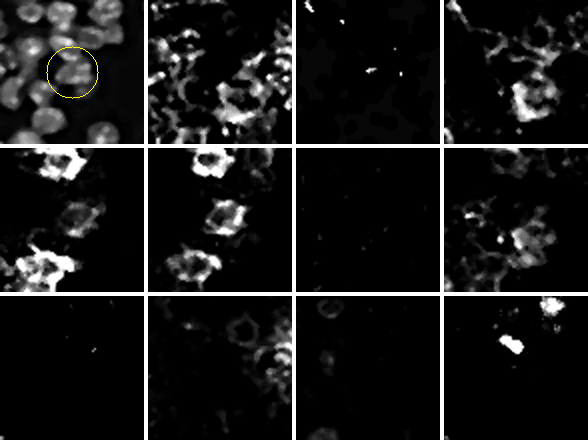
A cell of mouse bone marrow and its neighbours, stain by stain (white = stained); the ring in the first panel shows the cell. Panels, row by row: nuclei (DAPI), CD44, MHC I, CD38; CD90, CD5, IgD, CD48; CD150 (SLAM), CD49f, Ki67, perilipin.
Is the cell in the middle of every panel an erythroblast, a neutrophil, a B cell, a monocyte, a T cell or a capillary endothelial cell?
It is a T cell.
